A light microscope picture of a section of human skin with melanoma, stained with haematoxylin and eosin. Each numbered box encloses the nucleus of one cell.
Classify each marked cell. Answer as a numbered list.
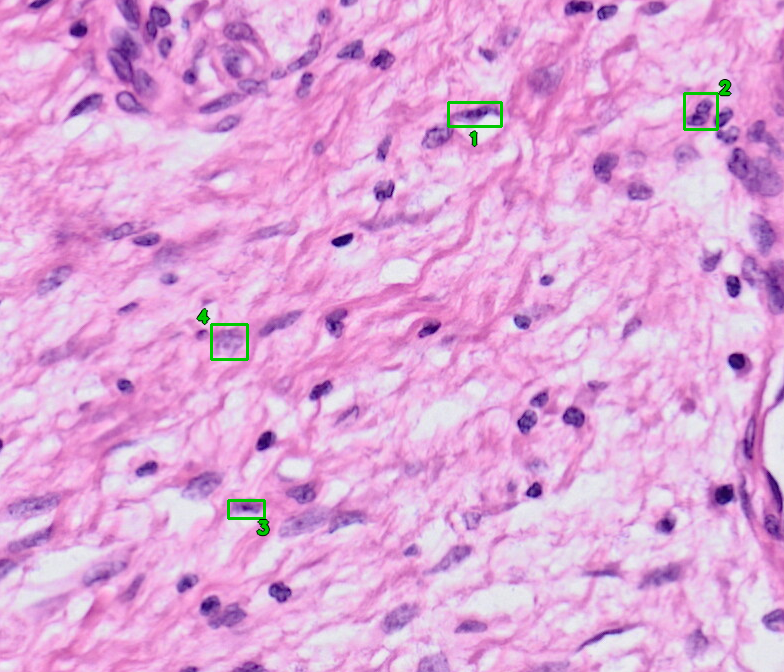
1. fibroblast or myofibroblast
2. macrophage or monocyte
3. fibroblast or myofibroblast
4. fibroblast or myofibroblast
